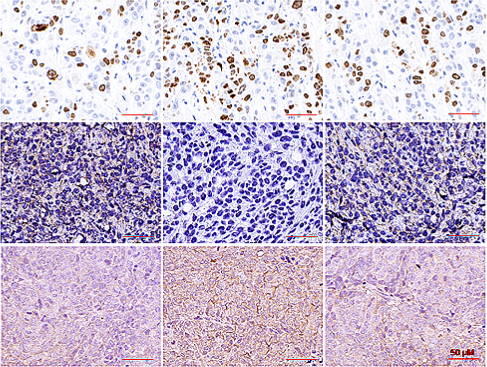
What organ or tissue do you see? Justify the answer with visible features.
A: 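Tumor tissue. Sheets of densely packed cells without normal organised architecture. Nuclei vary in size and shape.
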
